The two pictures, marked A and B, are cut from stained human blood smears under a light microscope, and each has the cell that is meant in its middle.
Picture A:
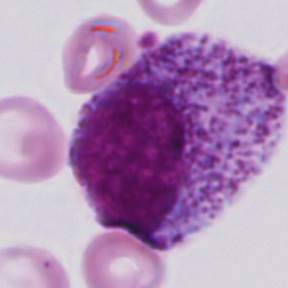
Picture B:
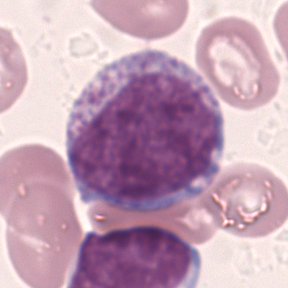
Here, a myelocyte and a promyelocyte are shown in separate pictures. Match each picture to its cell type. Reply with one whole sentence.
Picture A is of a myelocyte, and picture B is of a promyelocyte.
